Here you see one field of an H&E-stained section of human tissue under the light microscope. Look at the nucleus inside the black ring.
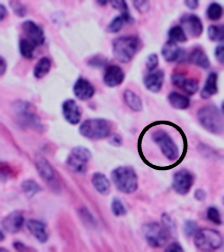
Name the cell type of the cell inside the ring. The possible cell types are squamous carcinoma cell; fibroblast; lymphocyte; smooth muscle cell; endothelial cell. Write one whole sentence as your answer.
Cell type answer for this item: the cell inside the ring is a lymphocyte.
